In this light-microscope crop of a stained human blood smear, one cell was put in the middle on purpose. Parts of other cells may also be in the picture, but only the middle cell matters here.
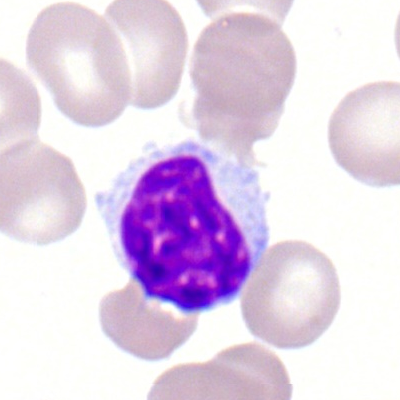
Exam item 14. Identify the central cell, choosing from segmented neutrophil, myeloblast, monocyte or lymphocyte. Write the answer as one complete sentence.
In the center of this field lies a lymphocyte.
